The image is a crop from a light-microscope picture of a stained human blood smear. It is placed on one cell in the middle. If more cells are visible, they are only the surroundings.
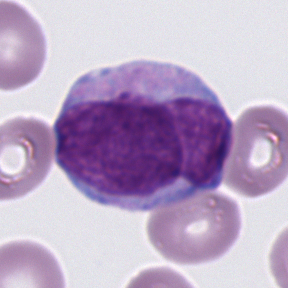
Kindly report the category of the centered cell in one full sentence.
At the center of the crop sits an atypical promyelocyte.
